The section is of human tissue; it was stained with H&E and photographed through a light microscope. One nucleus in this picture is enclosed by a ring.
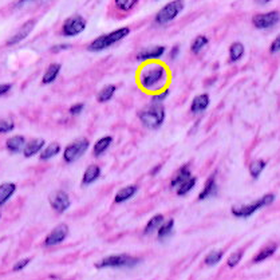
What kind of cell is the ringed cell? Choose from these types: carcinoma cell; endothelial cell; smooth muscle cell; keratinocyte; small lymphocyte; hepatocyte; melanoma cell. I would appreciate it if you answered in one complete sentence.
It is as a smooth muscle cell that the ringed cell is recorded.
